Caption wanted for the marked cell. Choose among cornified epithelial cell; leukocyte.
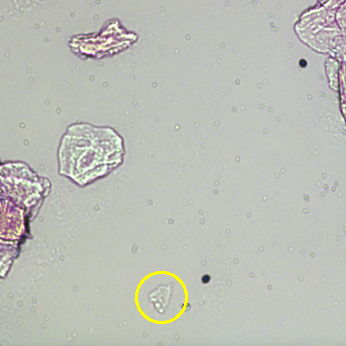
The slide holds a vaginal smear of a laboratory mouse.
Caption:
Ringed in yellow is a cornified epithelial cell.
